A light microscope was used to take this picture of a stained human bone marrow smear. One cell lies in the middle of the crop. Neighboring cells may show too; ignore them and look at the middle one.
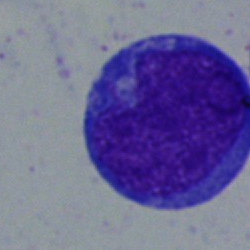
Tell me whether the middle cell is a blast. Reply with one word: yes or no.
yes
